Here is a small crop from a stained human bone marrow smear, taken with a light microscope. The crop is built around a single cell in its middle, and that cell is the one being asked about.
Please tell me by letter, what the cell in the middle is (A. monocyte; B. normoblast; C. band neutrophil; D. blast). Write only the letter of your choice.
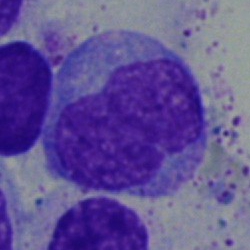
A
